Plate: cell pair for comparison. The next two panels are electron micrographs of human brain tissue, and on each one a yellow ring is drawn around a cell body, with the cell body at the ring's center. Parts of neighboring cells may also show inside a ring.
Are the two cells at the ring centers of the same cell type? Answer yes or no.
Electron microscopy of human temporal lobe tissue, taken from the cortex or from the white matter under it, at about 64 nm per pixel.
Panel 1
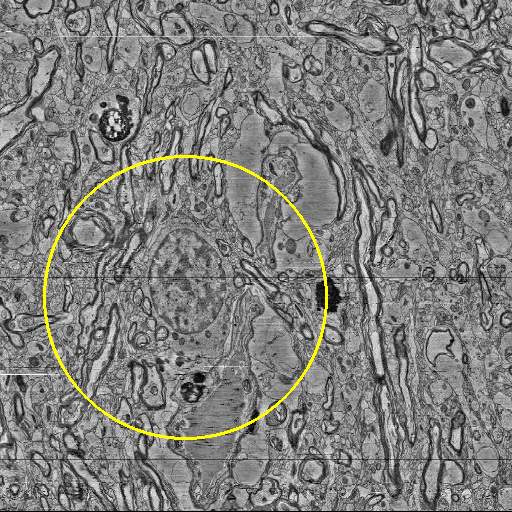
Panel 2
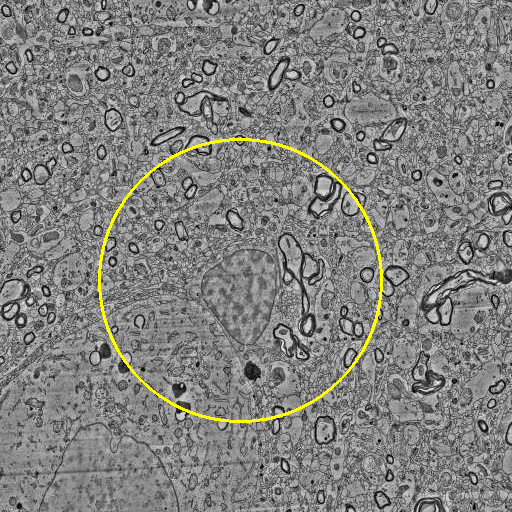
yes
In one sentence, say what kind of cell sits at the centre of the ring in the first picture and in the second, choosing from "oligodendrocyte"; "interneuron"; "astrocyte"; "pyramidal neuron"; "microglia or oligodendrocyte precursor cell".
Both pictures show an oligodendrocyte at the centre of the ring.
